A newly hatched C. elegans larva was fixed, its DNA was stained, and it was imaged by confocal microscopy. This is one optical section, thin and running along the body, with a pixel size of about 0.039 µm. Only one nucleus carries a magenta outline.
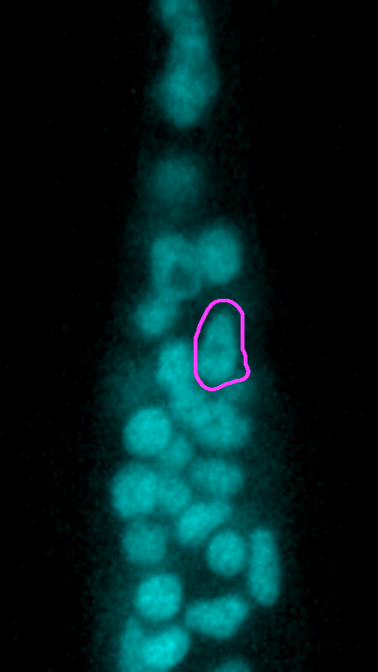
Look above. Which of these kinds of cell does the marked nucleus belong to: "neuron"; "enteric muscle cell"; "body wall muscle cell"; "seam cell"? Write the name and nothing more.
body wall muscle cell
